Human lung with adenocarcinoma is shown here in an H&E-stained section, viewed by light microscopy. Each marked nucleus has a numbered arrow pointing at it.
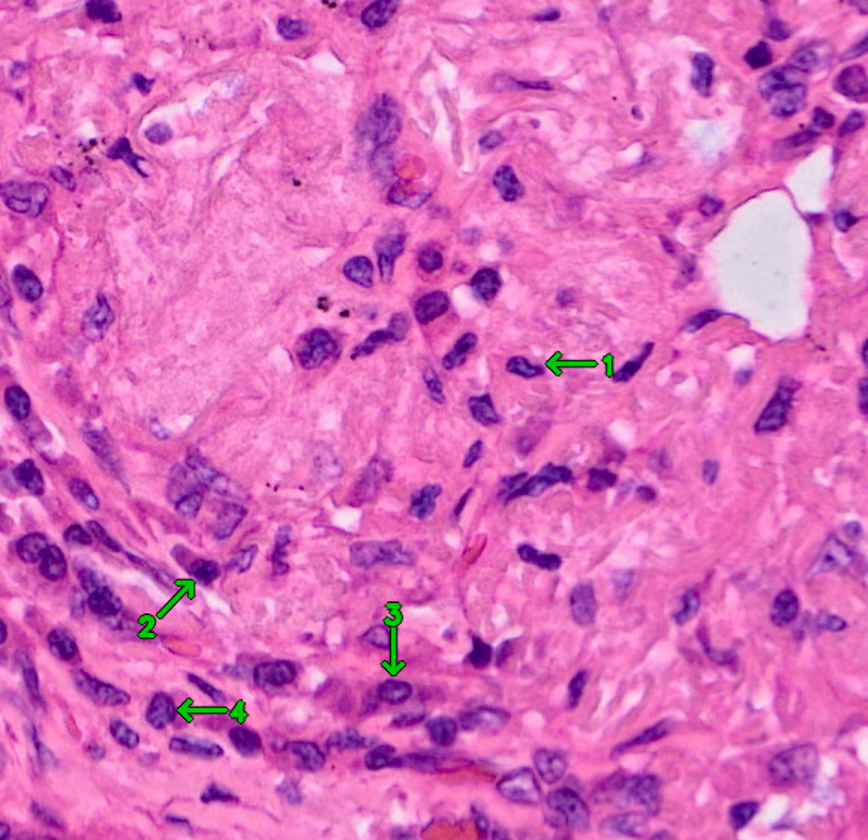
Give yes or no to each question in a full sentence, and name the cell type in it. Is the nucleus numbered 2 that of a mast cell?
No, cell 2 does not count as a mast cell; it is a plasma cell.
